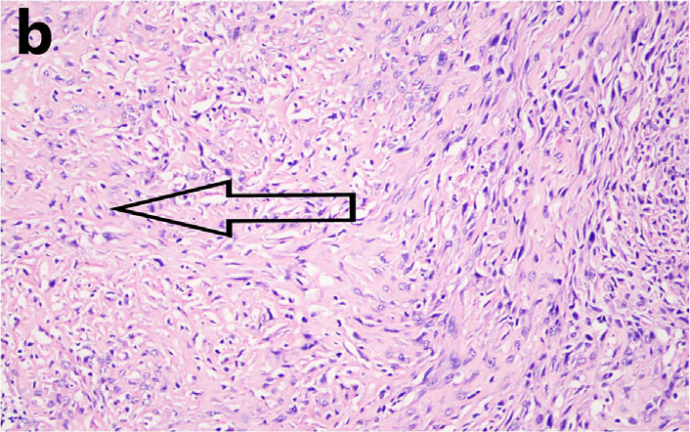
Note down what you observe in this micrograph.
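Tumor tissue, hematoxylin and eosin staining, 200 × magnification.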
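On the right they are crowded in intersecting fascicles, while toward the left they become fewer and are set apart in loose pale pink stroma with small clear spaces. The nuclei vary in size and shape, and some cells have a modest rim of pink cytoplasm.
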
